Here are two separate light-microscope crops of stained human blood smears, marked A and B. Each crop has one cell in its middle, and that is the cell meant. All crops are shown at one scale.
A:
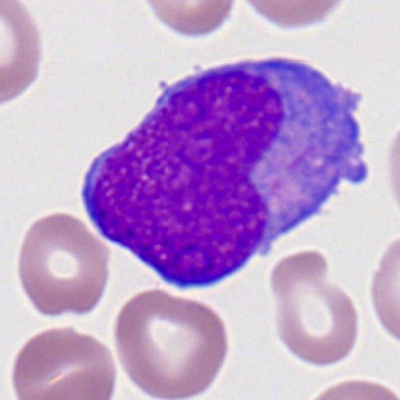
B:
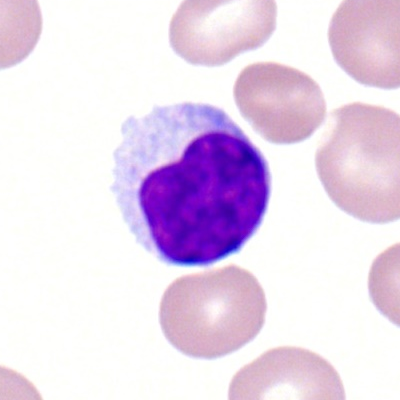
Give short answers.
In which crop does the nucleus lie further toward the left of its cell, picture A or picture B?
A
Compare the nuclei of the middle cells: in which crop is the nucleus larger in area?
A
